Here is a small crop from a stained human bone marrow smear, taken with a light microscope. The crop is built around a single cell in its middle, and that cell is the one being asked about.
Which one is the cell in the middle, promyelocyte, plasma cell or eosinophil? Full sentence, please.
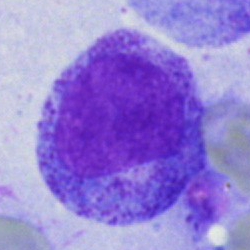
The middle of this crop holds a promyelocyte.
